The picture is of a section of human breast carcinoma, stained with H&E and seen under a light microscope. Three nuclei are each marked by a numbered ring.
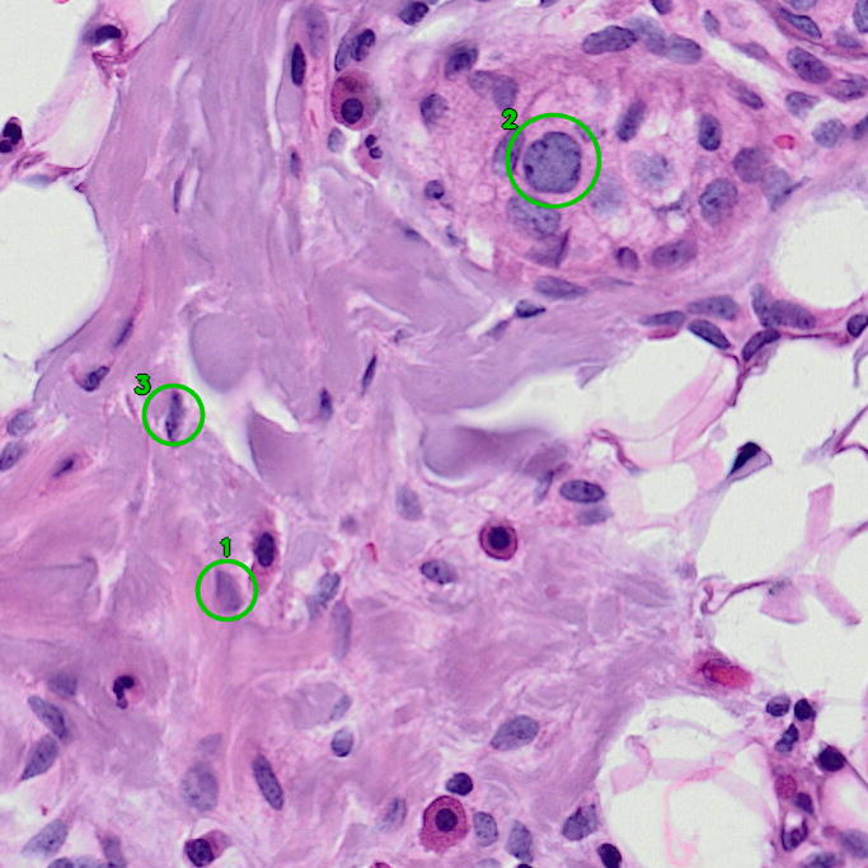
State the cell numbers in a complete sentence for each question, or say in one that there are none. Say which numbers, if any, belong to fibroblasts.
The cells whose numbers are 1 and 3 are fibroblasts.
